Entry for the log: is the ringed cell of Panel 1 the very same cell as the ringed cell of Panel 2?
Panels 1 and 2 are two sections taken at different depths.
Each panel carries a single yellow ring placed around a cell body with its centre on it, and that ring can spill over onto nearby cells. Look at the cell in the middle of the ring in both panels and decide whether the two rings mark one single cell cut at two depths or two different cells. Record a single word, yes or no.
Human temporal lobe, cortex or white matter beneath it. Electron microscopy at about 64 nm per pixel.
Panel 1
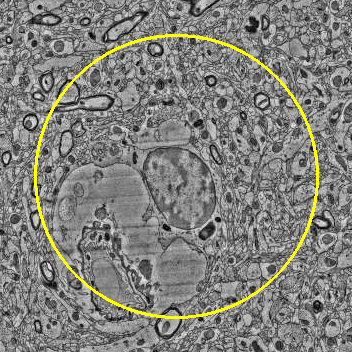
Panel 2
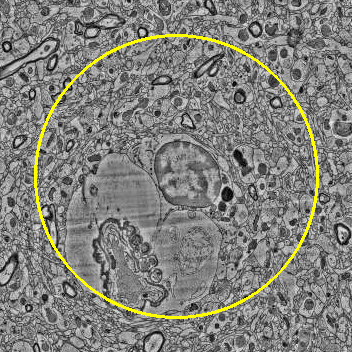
yes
